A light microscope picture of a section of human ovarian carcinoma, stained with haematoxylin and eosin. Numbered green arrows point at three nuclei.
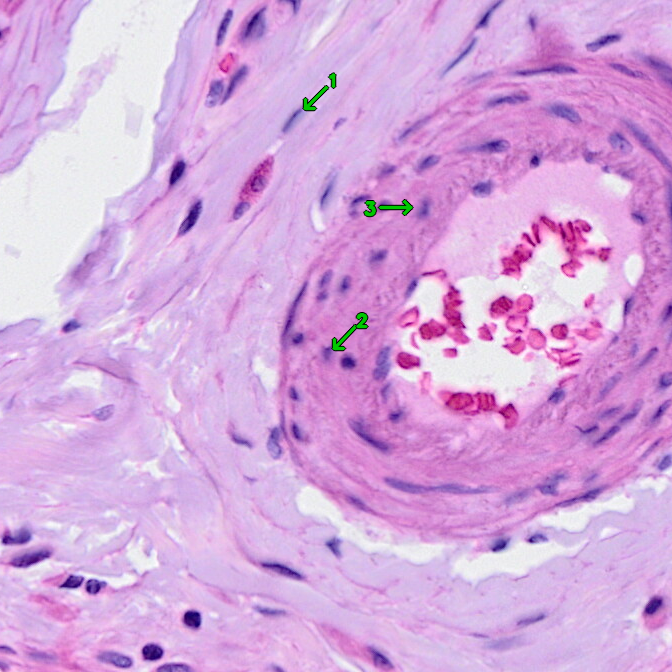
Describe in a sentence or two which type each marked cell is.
Cell 1 is a fibroblast, cell 2 is a smooth muscle cell and cell 3 is a smooth muscle cell.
